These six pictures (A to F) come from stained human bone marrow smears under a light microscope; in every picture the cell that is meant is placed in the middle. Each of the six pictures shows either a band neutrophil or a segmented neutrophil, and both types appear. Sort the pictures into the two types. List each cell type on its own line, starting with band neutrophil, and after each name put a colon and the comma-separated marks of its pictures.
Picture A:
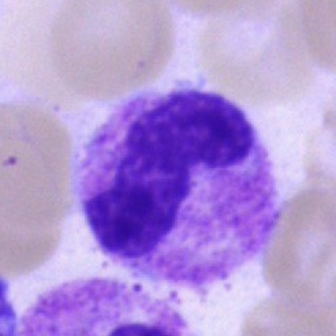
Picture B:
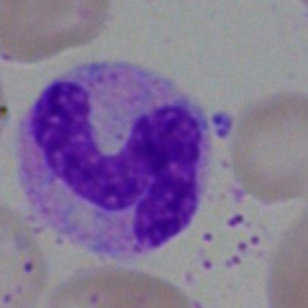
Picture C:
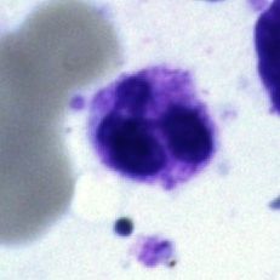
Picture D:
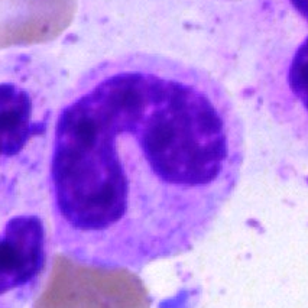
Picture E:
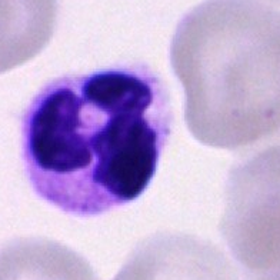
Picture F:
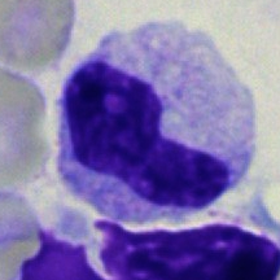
band neutrophil: A, B, D, F
segmented neutrophil: C, E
